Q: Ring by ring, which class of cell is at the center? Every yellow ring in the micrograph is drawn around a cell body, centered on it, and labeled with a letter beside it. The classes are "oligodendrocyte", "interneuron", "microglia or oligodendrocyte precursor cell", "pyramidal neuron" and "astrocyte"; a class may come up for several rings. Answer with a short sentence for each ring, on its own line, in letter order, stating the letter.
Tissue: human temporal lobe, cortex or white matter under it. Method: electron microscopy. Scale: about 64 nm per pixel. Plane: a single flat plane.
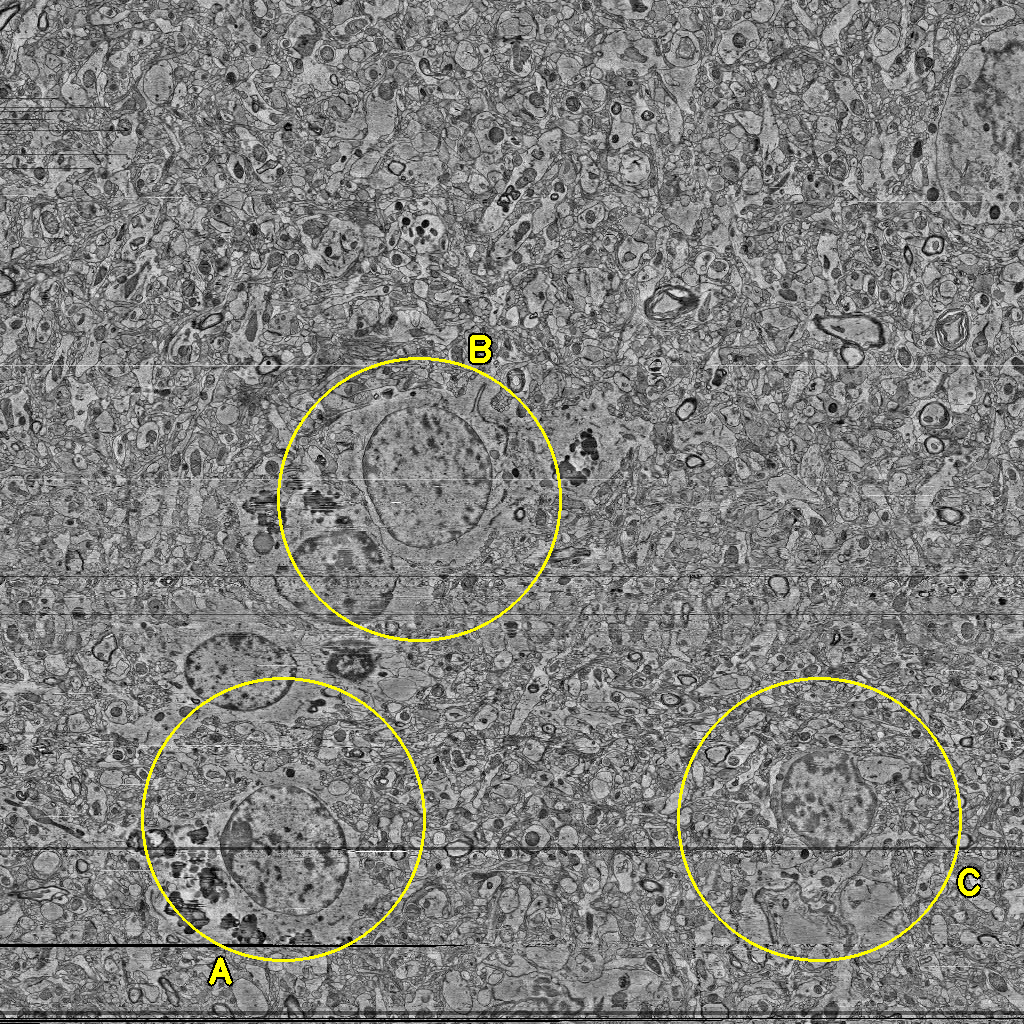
Ring A holds an astrocyte at its center.
Ring B holds an astrocyte at its center.
Ring C holds an oligodendrocyte at its center.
